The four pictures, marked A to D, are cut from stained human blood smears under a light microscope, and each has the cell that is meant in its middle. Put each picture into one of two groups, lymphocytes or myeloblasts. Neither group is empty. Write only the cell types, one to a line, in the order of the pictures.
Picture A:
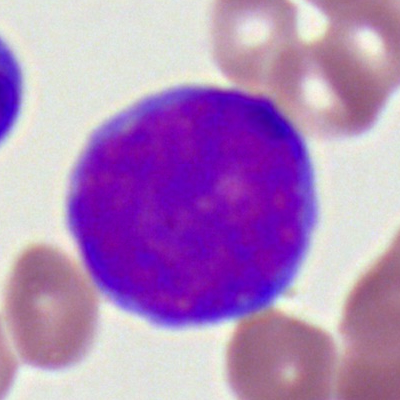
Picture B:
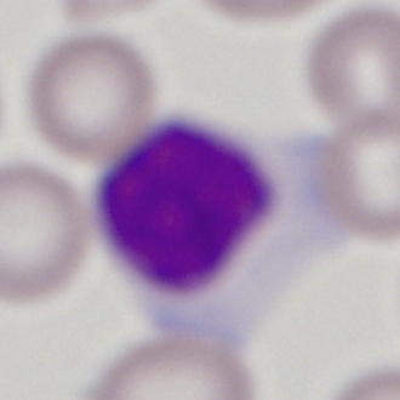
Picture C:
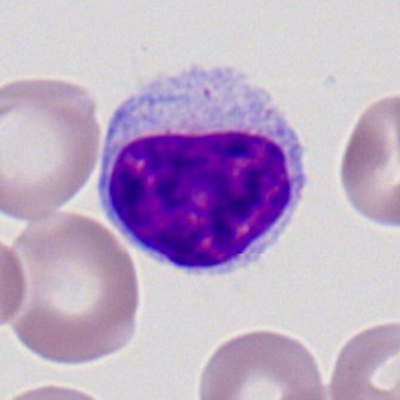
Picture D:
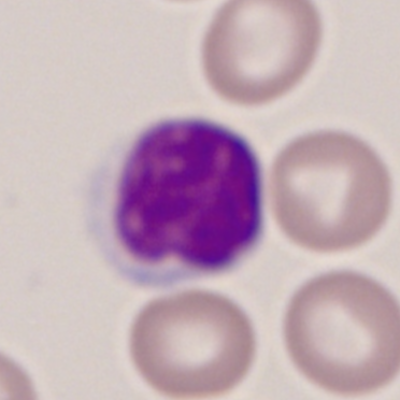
myeloblast
lymphocyte
lymphocyte
lymphocyte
